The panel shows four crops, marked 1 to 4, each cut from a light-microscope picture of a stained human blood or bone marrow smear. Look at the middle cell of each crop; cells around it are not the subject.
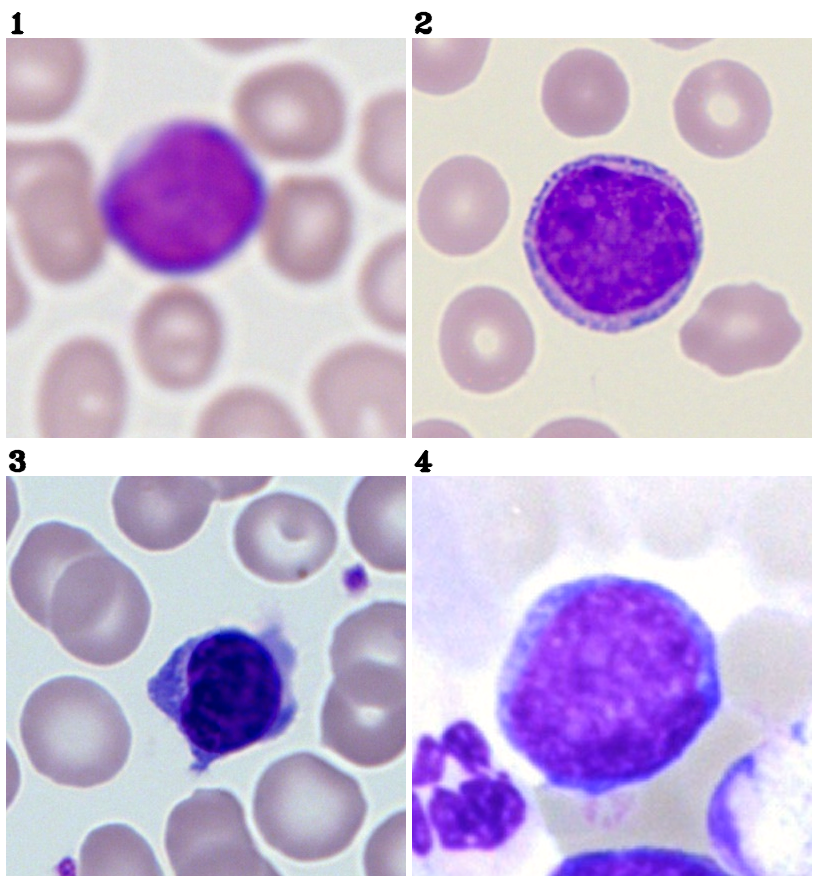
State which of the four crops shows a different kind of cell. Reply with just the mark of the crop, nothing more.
3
